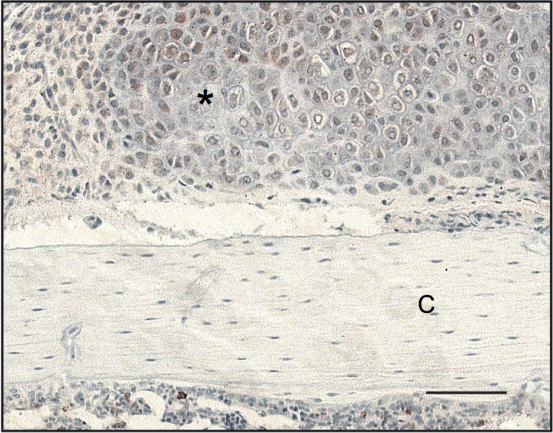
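This is periosteal callus with a zone of large, rounded to polygonal hypertrophic chondrocytes in the upper half. Below that runs a band of pale cortical bone with evenly spaced, small flat nuclei in its lacunae. At the bottom edge a layer of small, densely packed cells with dark nuclei is seen.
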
